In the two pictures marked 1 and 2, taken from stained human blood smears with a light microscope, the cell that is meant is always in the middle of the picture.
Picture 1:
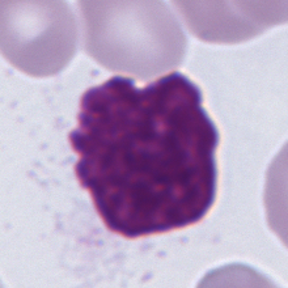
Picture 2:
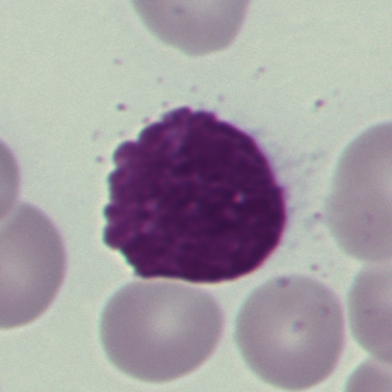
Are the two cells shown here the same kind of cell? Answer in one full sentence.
Yes, both cells are smudge cells.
